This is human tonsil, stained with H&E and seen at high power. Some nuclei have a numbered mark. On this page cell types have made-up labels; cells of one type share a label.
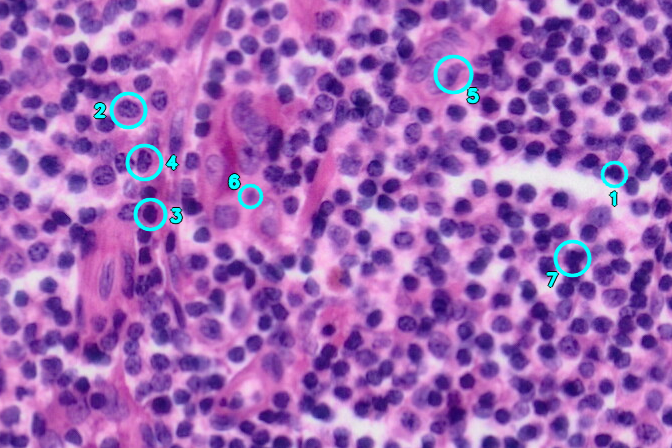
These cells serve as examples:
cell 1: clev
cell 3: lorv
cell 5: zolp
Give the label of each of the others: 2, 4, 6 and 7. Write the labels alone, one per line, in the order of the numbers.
lorv
lorv
zolp
clev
